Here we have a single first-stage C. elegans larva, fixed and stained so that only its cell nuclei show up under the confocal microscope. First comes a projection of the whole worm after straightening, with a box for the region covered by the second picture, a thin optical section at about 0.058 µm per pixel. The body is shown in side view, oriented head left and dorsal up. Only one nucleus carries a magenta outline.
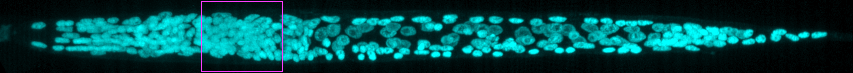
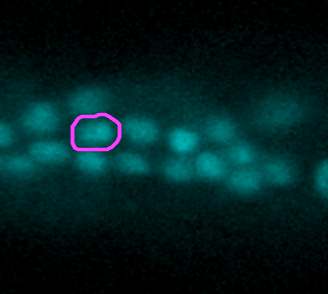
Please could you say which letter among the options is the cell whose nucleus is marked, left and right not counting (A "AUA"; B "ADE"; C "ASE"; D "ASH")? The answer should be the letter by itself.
D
